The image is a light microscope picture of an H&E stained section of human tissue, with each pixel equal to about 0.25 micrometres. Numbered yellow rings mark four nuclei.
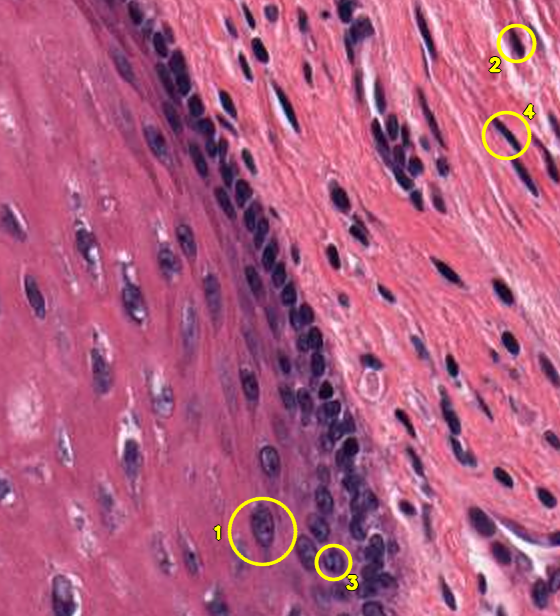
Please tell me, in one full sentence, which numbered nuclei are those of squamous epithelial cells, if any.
It is to squamous epithelial cells that nuclei 1 and 3 belong.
